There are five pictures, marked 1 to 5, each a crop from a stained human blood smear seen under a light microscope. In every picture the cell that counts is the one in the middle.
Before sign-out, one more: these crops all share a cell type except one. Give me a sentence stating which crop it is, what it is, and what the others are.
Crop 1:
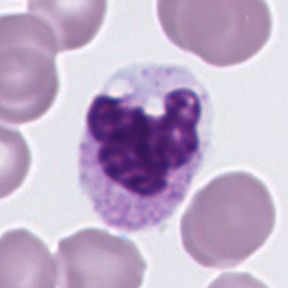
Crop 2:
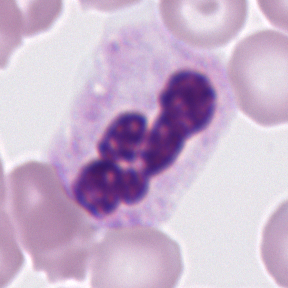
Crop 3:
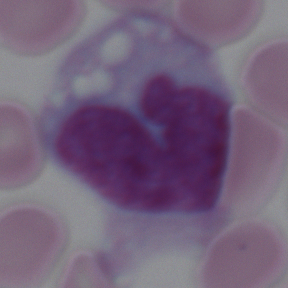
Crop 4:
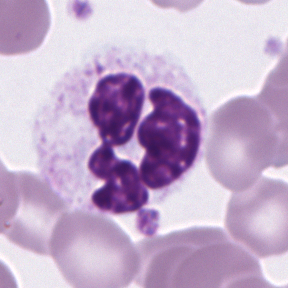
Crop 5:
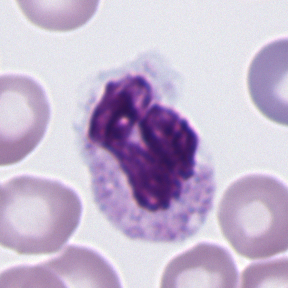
In every crop except crop 3, which shows a monocyte, segmented neutrophils are shown.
